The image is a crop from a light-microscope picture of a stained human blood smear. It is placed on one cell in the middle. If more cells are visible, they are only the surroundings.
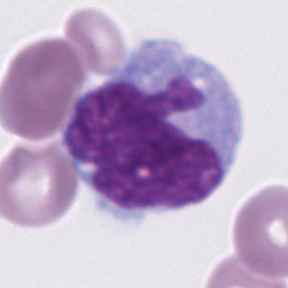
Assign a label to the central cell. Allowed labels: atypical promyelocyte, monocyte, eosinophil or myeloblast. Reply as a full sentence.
On this slide crop, the central cell is a monocyte.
